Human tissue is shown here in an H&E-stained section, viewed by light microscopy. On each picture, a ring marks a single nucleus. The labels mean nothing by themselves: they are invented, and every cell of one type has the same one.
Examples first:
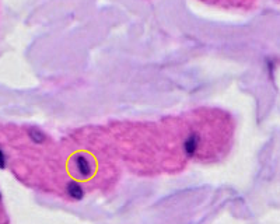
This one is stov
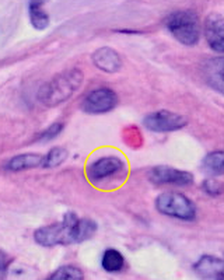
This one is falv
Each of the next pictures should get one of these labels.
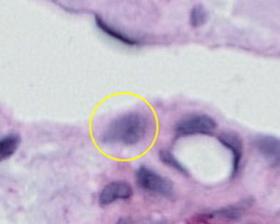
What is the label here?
falv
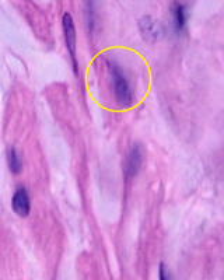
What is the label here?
stov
